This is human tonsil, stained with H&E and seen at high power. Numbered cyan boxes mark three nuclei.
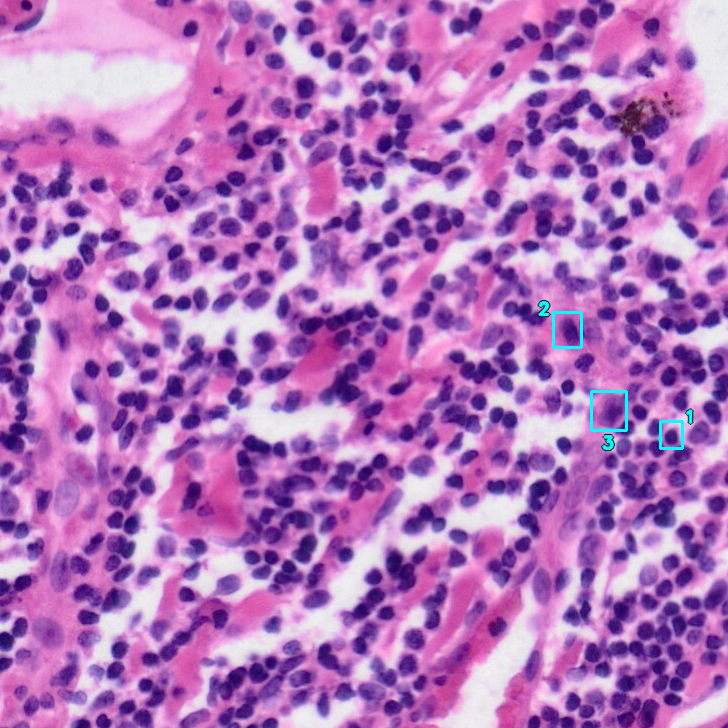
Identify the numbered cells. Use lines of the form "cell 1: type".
cell 1: small lymphocyte
cell 2: endothelial cell
cell 3: endothelial cell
